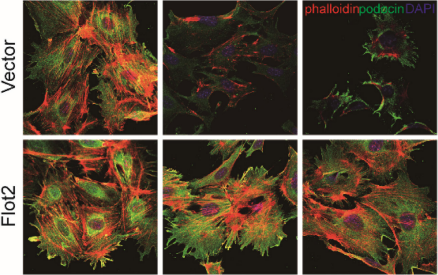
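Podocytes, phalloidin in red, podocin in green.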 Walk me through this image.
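In several fields the cells are broad and spread, filled with dense red filament bundles and diffuse green cytoplasm around oval nuclei. In other fields of the upper row the cells are sparser and shrunken, with fewer red bundles, thin irregular processes and patchy green label. The lower row fields show spread cells with abundant red filaments throughout.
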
